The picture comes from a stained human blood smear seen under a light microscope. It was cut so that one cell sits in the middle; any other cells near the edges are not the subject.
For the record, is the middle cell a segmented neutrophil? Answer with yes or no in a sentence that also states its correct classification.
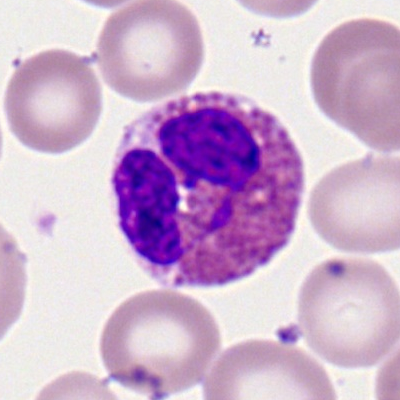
No, the centre of the crop is taken up by an eosinophil, not a segmented neutrophil.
